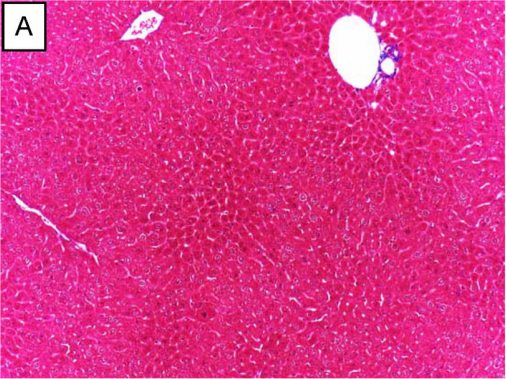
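Liver parenchyma with an even architecture. Cords of polygonal hepatocytes with round central nuclei and red-pink cytoplasm radiate through the field, separated by narrow pale sinusoidal spaces. A few round open vessels lie in the parenchyma, one holding red blood cells. Blue-stained fibrous tissue is almost absent, limited to a tiny patch beside one vessel. No fibrous strands run between the vessels, and the cords are continuous across the field.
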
